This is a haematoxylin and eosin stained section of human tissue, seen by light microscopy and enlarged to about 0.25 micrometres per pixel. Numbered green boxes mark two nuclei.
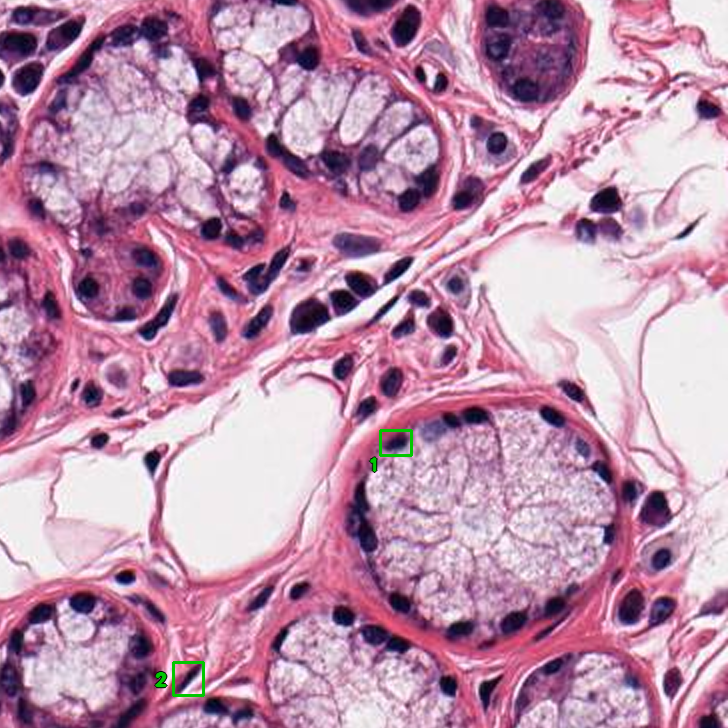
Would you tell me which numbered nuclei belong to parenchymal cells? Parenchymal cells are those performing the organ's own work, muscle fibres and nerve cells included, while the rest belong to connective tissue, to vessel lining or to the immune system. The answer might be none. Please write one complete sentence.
Only the nucleus numbered 1 belongs to a parenchymal cell.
